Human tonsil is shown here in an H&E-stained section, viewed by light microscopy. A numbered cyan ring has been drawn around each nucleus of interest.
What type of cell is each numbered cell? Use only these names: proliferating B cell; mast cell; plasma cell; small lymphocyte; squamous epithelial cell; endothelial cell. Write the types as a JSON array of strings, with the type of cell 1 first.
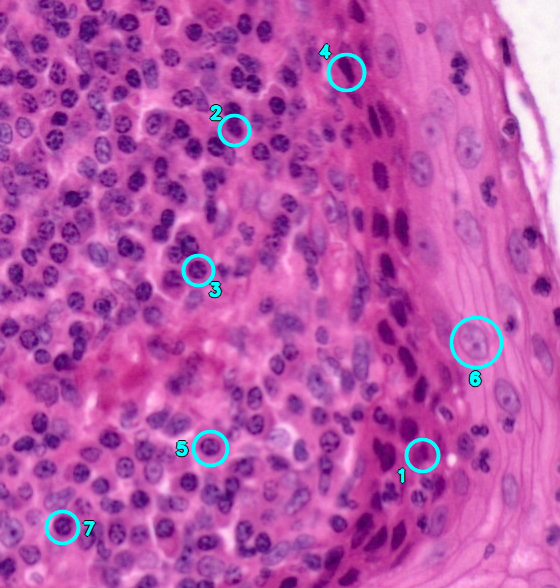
["squamous epithelial cell", "plasma cell", "plasma cell", "squamous epithelial cell", "plasma cell", "squamous epithelial cell", "plasma cell"]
